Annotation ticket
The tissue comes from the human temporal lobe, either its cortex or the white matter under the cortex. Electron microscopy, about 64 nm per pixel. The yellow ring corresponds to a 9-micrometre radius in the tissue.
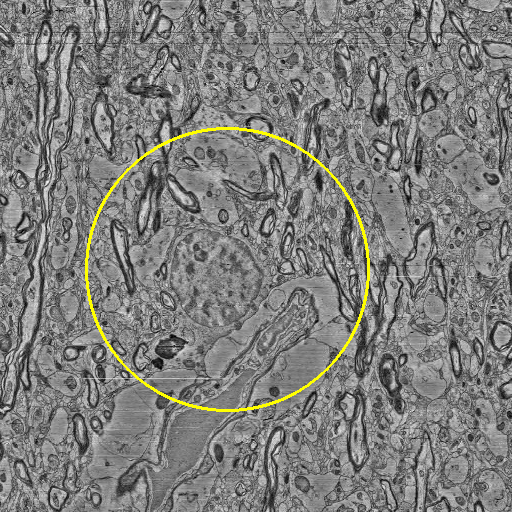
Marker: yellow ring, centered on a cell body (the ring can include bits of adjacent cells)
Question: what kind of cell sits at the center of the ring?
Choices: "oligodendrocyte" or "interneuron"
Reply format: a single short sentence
The ring is centered on an oligodendrocyte.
